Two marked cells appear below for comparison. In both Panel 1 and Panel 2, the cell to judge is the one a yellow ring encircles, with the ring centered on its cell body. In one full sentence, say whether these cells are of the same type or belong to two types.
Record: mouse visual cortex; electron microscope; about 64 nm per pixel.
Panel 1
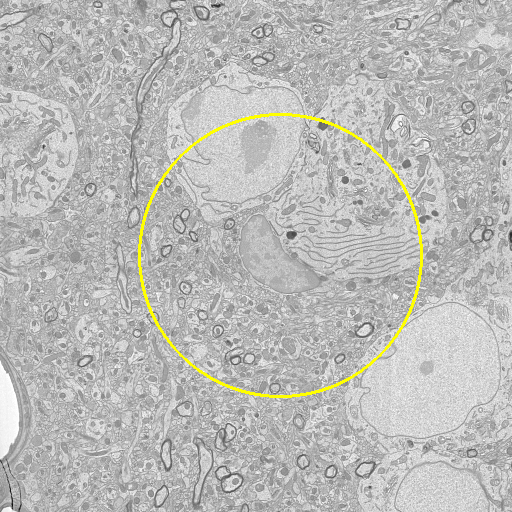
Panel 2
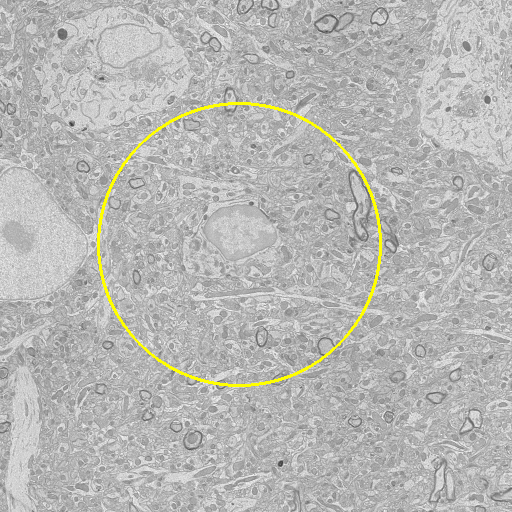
The cell centered in the Panel 1 ring and the one in Panel 2 are of the same type.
